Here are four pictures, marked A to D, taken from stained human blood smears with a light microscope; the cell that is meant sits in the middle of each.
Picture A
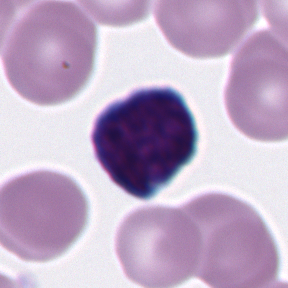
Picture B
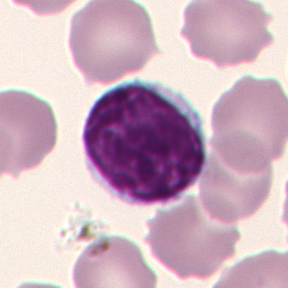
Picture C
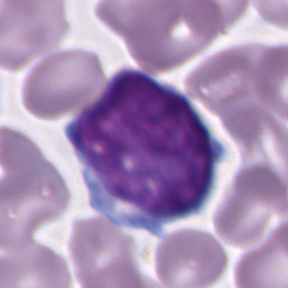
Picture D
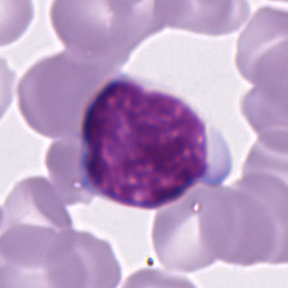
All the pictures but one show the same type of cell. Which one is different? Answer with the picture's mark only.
C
